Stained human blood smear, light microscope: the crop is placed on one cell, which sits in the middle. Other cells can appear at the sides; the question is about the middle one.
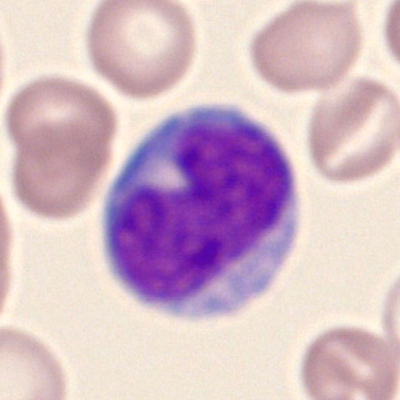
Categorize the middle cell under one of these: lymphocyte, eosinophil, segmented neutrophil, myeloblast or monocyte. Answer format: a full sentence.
By classification, the middle cell of this crop is a monocyte.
